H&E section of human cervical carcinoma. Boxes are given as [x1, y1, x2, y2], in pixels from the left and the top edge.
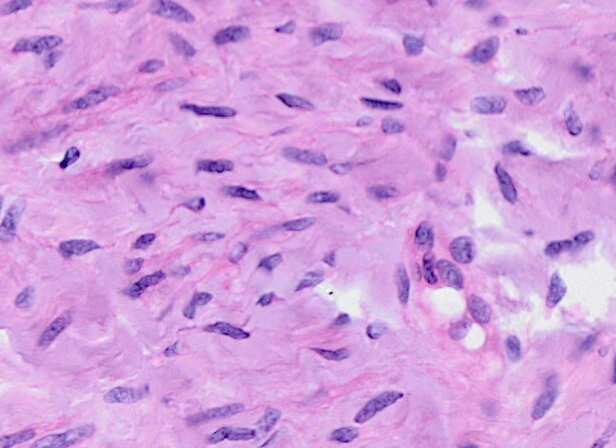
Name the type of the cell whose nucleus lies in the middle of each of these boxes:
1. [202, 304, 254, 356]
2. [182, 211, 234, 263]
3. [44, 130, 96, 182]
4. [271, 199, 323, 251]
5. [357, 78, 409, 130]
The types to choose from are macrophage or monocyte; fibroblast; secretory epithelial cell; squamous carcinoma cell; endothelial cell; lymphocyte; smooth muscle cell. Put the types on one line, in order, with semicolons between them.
fibroblast; smooth muscle cell; lymphocyte; smooth muscle cell; fibroblast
